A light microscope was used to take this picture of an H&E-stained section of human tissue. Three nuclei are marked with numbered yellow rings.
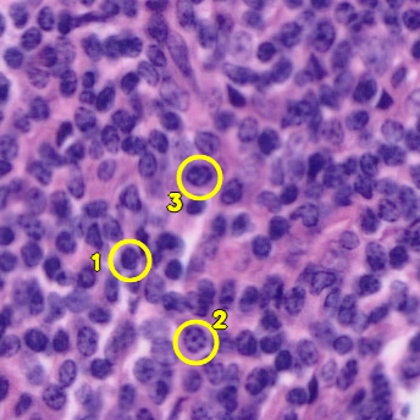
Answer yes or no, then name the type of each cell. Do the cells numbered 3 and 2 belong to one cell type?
Yes, the cells marked 3 and 2 are both plasma cells.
